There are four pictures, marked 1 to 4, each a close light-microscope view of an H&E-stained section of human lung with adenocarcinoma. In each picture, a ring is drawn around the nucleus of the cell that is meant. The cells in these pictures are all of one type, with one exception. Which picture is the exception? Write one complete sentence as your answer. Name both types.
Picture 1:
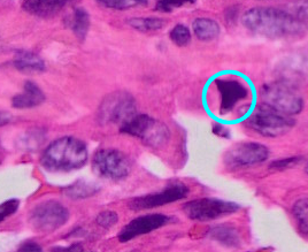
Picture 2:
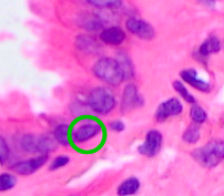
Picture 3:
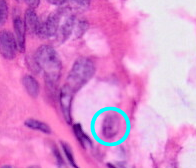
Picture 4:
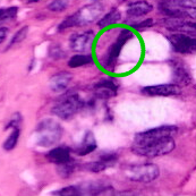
The others show ciliated epithelial cells, but picture 1 shows a carcinoma cell.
